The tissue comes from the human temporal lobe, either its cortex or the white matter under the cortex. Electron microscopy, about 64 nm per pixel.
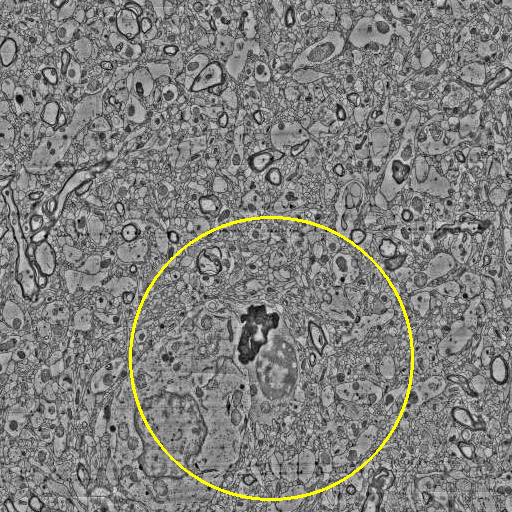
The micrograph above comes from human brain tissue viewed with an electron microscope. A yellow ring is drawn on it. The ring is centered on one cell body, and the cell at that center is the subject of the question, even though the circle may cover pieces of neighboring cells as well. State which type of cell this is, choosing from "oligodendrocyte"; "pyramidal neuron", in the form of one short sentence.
The cell the ring is centered on is an oligodendrocyte.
